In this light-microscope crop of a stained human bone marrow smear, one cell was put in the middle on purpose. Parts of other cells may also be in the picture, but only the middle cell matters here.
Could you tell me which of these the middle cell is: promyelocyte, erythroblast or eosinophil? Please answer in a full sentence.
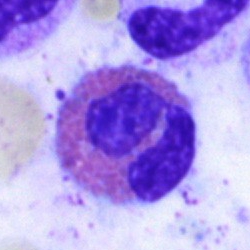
The middle position in this crop is taken by an eosinophil.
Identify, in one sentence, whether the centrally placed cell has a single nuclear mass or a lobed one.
This cell has a nucleus made up of two or more segments.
